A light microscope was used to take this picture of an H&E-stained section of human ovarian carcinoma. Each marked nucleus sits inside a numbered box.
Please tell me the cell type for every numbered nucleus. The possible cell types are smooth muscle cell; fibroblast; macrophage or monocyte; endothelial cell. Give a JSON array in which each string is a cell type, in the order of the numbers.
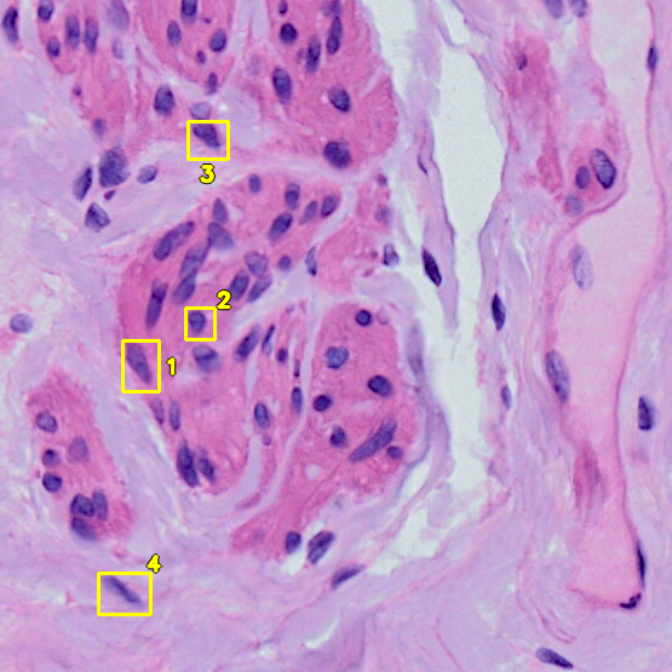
["smooth muscle cell", "smooth muscle cell", "smooth muscle cell", "fibroblast"]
